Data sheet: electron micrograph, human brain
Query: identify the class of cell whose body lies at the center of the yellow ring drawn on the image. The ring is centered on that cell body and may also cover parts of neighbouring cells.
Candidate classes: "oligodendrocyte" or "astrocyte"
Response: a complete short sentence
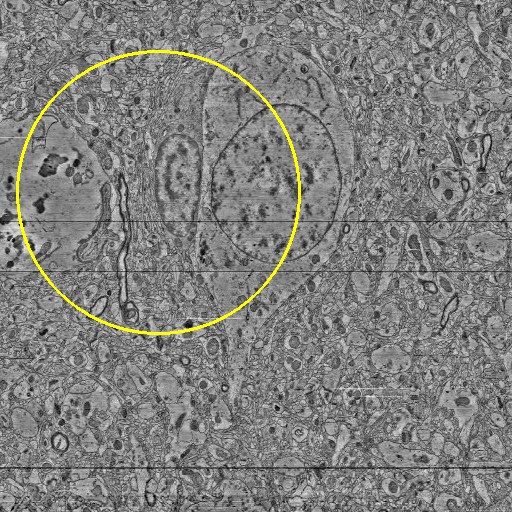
At the center of the ring lies an oligodendrocyte.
